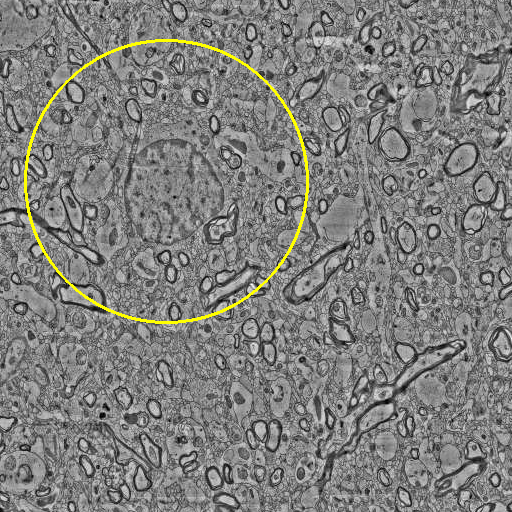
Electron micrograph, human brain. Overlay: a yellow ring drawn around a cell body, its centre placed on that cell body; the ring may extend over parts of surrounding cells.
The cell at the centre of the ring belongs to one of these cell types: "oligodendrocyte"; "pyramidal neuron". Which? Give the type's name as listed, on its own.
oligodendrocyte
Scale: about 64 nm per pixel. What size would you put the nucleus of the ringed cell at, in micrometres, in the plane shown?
In this plane, the nucleus measures approximately 7 micrometres across.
